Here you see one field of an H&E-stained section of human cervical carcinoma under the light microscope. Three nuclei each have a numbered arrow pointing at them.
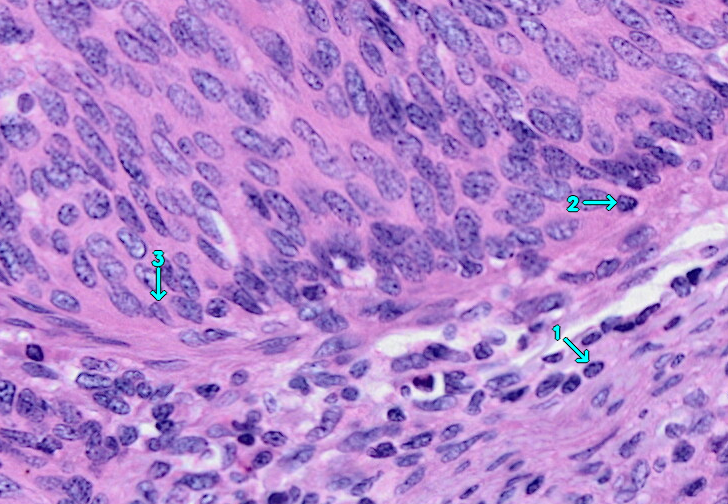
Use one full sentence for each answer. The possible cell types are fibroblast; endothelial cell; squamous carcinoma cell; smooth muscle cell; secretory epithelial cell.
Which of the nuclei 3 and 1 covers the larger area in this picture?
At about 1.5 times the area of nucleus 1, nucleus 3 is the larger of the two.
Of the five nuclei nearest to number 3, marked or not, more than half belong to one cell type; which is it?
Of the five nuclei nearest to number 3, most belong to squamous carcinoma cells.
